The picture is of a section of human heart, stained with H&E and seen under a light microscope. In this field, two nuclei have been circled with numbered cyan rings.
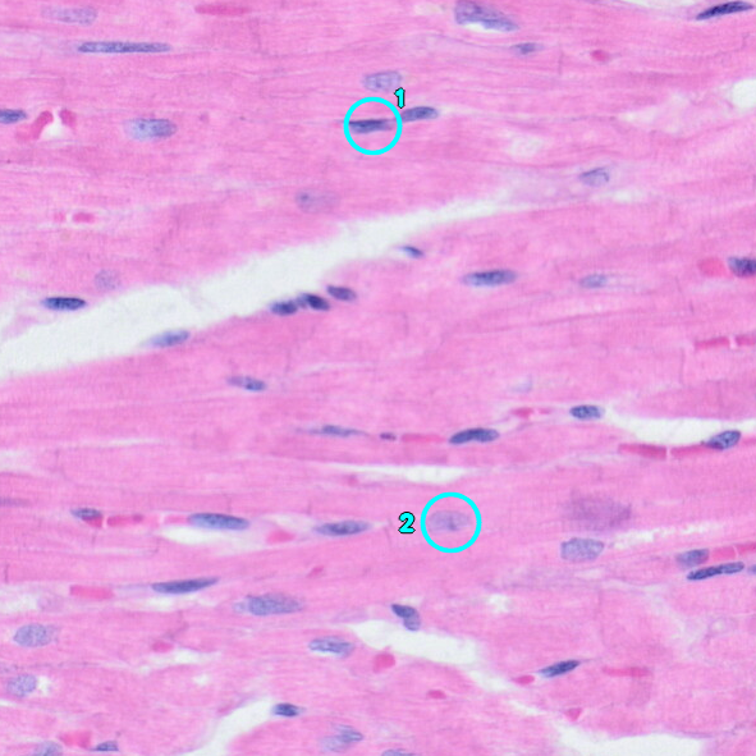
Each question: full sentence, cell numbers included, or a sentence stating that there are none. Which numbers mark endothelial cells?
Cell 1 is an endothelial cell; every other numbered cell is something else.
